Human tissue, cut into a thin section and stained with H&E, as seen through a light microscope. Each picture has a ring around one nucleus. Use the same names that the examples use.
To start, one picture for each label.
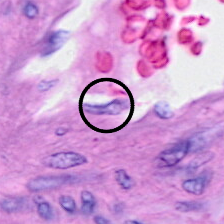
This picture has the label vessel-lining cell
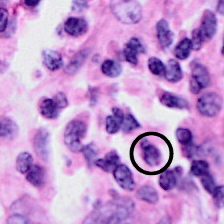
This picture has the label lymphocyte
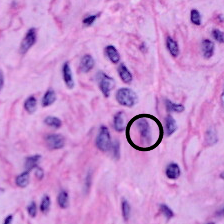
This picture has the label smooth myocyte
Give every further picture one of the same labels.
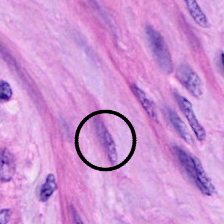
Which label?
smooth myocyte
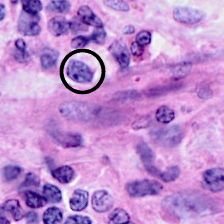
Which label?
lymphocyte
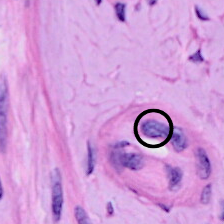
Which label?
vessel-lining cell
